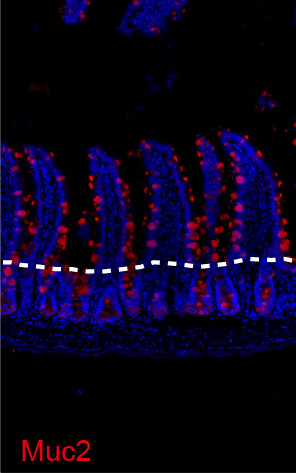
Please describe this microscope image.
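Section of small intestinal mucosa showing finger-like villi projecting upward above a white dashed line, with crypts below it and a thin muscular layer at the bottom. The villi are covered by a single epithelial layer whose nuclei appear blue and are densely packed. Scattered among these epithelial cells are rounded cells filled with red, the goblet cells, spaced along both sides of each villus from base to tip. Red cells are also present in the crypt region below the dashed line. The villus cores show fewer, more loosely arranged blue nuclei without red cells.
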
